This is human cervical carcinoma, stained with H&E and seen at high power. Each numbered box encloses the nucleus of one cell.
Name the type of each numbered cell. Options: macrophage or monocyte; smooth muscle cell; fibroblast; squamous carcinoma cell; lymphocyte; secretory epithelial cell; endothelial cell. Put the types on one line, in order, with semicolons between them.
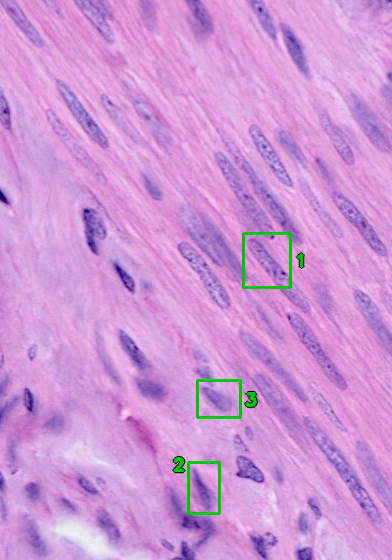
smooth muscle cell; fibroblast; fibroblast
